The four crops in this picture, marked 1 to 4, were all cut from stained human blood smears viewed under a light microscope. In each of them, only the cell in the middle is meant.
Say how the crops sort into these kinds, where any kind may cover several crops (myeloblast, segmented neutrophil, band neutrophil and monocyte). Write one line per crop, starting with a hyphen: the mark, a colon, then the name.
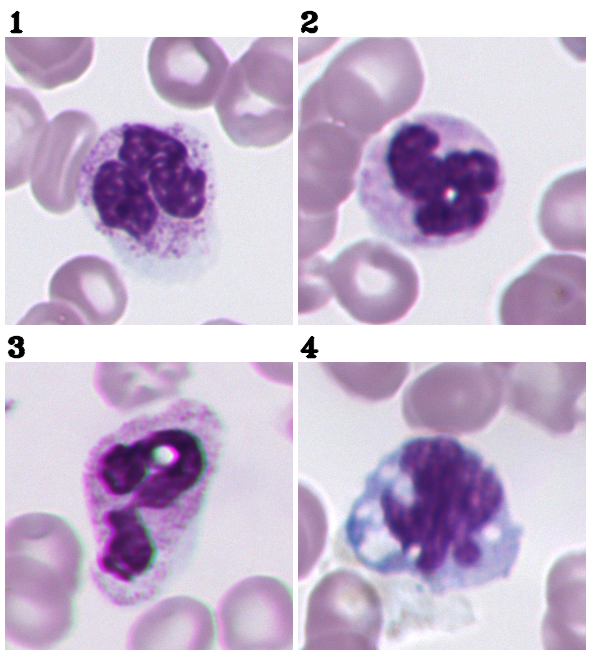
- 1: segmented neutrophil
- 2: segmented neutrophil
- 3: segmented neutrophil
- 4: monocyte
